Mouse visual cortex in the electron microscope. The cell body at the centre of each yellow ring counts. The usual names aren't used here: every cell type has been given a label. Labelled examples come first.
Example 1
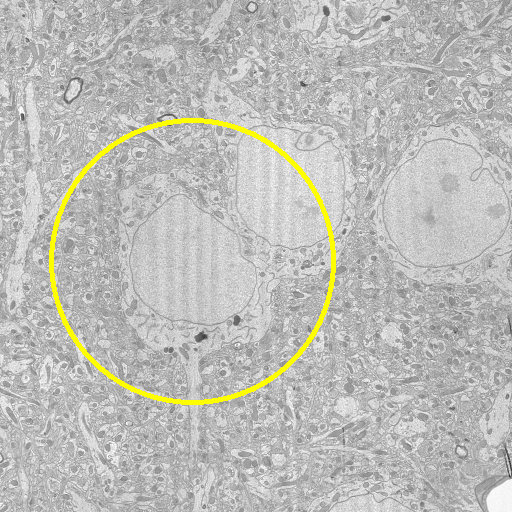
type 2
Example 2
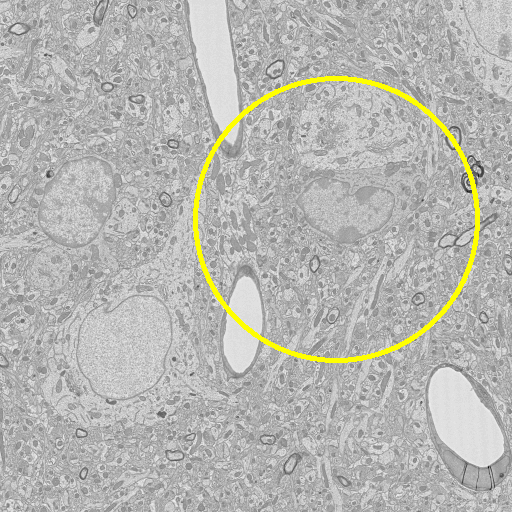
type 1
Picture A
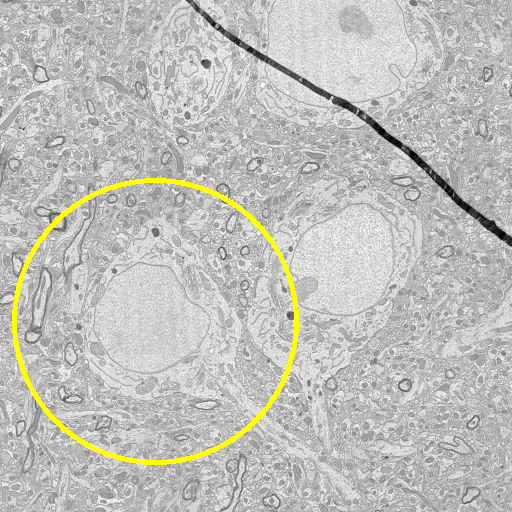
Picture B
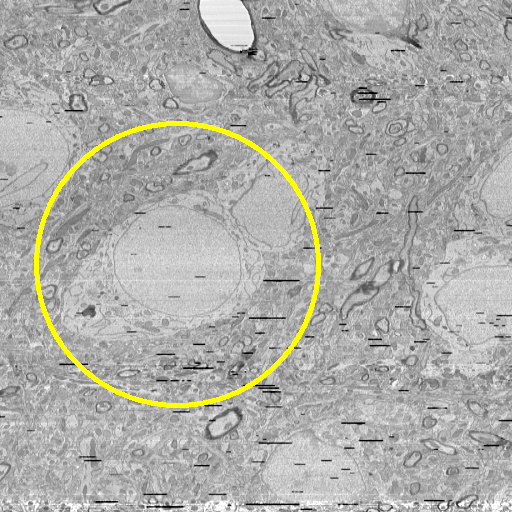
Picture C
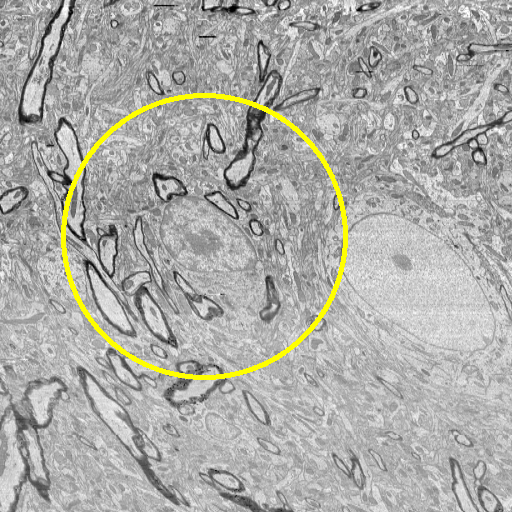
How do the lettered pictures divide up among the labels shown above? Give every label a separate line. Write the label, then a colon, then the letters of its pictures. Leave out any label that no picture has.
type 2: A, B
type 1: C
